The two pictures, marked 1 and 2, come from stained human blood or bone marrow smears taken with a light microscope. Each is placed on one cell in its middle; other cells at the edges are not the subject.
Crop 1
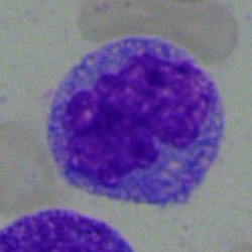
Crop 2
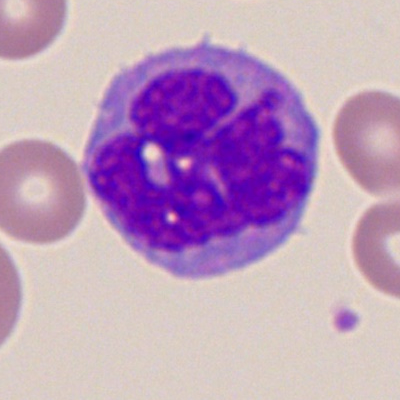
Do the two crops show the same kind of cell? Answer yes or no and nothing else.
yes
